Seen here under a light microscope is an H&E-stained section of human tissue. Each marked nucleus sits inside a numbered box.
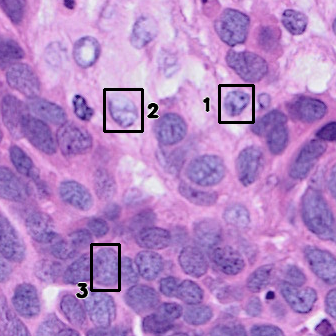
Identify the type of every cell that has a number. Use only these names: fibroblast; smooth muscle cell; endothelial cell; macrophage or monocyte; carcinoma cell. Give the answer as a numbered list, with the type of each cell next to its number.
1. macrophage or monocyte
2. fibroblast
3. carcinoma cell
